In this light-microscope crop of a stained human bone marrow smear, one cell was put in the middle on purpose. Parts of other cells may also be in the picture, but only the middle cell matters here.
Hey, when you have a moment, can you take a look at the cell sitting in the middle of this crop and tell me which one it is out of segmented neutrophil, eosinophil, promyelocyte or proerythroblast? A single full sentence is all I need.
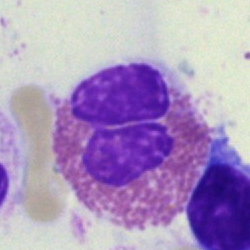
Standing at the centre of this crop is an eosinophil.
